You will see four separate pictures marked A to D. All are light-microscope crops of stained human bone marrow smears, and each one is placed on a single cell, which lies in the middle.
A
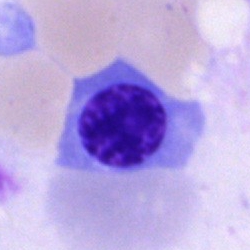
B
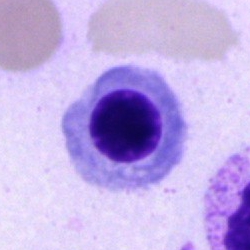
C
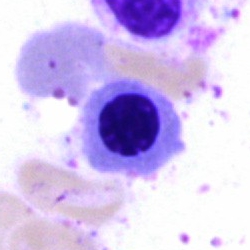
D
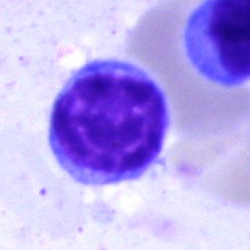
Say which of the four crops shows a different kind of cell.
D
